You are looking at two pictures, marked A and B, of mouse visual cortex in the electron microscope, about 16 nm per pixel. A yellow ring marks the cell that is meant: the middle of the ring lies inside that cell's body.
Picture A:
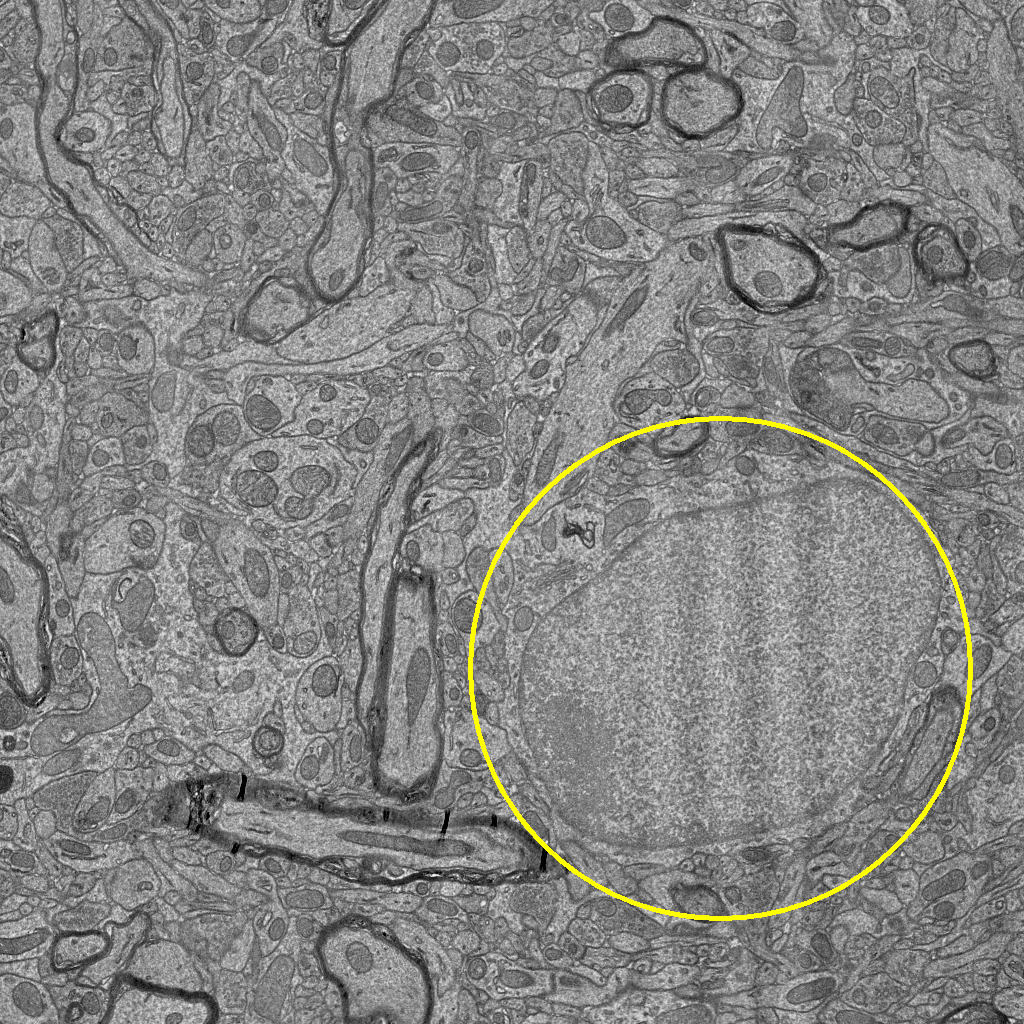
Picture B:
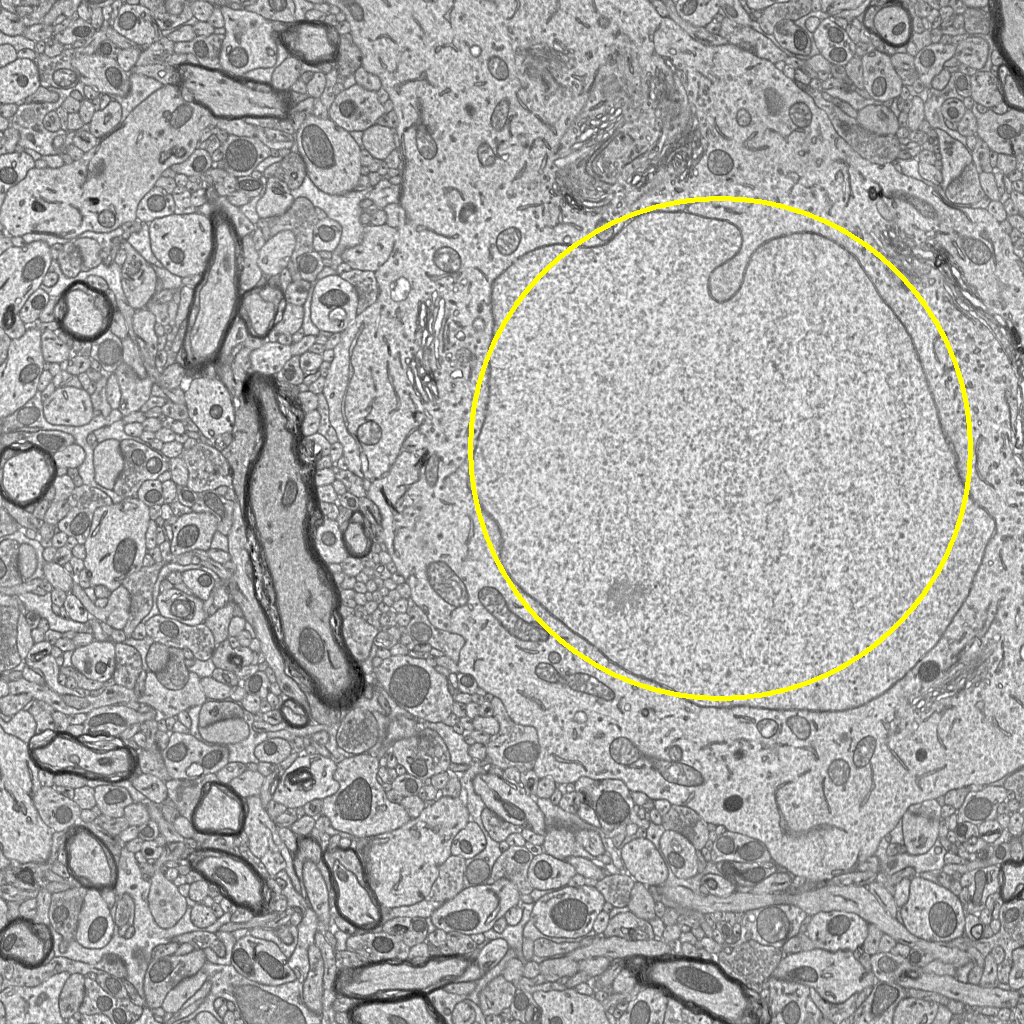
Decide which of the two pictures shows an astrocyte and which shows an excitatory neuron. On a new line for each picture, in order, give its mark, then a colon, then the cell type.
A: astrocyte
B: excitatory neuron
